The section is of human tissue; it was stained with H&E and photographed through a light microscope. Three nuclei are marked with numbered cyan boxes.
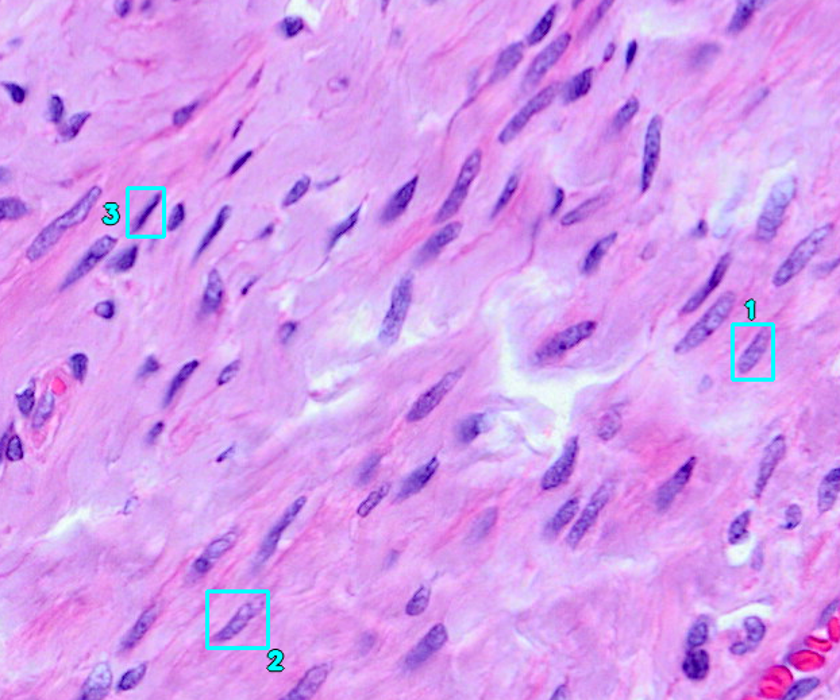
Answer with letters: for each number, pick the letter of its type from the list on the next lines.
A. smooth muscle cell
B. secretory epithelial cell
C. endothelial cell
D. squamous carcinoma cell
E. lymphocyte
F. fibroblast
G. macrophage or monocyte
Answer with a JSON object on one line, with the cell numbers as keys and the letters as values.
{"1": "A", "2": "A", "3": "F"}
